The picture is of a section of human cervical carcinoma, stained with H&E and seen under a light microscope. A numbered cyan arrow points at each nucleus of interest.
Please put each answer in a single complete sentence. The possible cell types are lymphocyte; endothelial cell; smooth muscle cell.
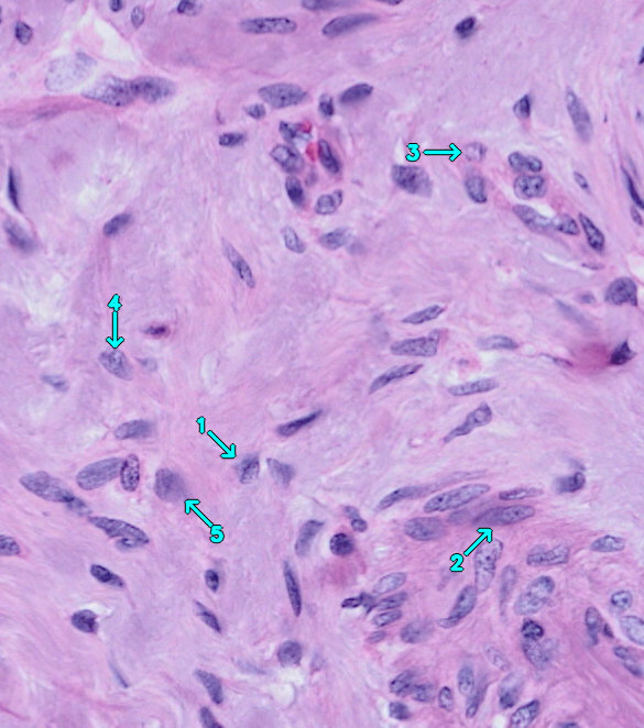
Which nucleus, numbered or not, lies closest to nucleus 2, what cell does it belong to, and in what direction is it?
It is a smooth muscle cell, whose nucleus lies above and to the right of nucleus 2.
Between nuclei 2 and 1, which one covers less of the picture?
The smaller nucleus is 1, and 2 covers roughly 1.5 times its area.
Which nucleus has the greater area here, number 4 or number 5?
Nucleus 5 covers more area, about 1.5 times as much as nucleus 4.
